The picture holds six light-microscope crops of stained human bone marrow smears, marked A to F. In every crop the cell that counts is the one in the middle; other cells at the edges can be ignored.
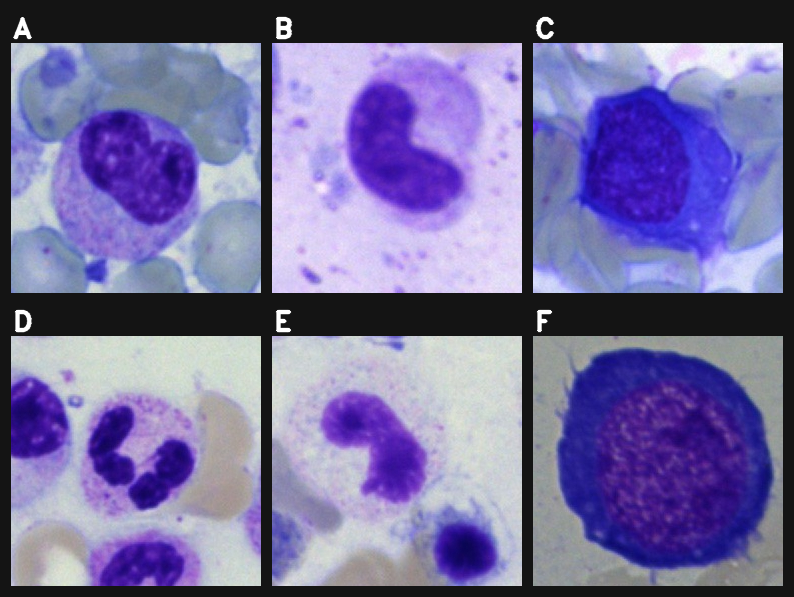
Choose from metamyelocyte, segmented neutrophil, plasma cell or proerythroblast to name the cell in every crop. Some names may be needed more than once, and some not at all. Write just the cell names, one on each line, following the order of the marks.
metamyelocyte
metamyelocyte
plasma cell
segmented neutrophil
segmented neutrophil
proerythroblast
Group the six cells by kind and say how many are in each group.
metamyelocyte: 2
segmented neutrophil: 2
plasma cell: 1
proerythroblast: 1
